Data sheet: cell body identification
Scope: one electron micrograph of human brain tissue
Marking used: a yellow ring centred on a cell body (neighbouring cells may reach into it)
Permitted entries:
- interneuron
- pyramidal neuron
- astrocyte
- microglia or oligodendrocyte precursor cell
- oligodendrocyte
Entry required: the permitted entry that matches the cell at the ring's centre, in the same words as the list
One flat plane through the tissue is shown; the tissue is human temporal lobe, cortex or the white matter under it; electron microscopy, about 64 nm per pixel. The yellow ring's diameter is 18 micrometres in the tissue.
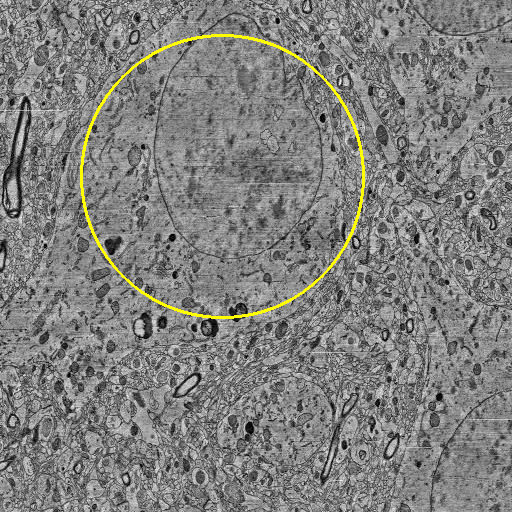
pyramidal neuron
